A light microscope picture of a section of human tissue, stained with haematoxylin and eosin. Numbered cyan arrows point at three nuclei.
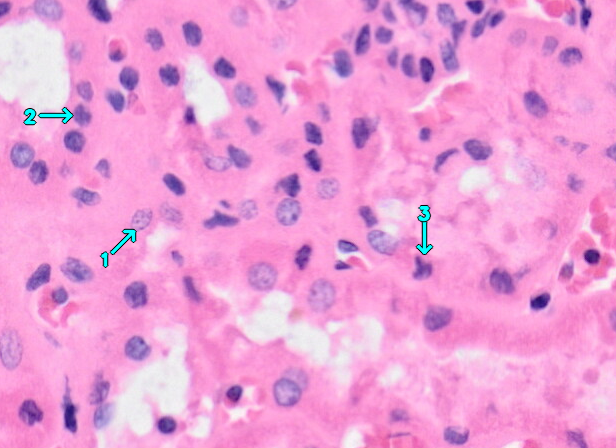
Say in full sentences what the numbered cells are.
Cell 1 is a loop of Henle or distal tubule cell, cell 2 is a loop of Henle or distal tubule cell and cell 3 is a proximal tubule cell.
